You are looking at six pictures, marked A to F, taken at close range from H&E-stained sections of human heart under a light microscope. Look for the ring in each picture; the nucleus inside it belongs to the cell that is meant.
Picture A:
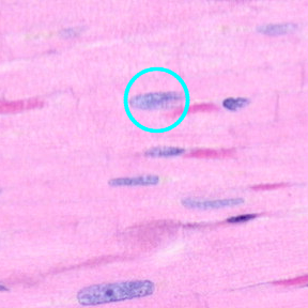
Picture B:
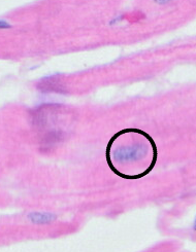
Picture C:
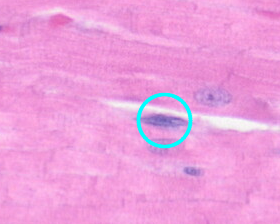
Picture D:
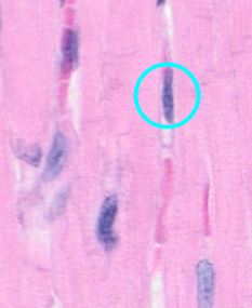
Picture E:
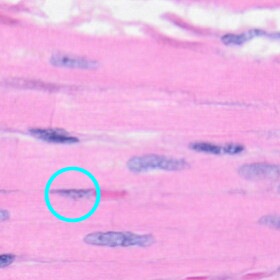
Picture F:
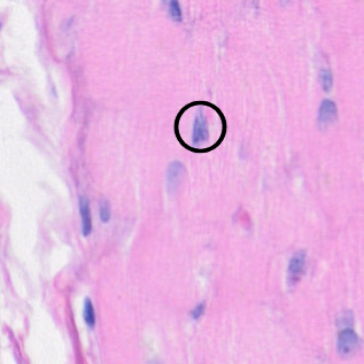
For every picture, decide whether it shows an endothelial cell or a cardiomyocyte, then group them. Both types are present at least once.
A: cardiomyocyte
B: cardiomyocyte
C: endothelial cell
D: endothelial cell
E: endothelial cell
F: endothelial cell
